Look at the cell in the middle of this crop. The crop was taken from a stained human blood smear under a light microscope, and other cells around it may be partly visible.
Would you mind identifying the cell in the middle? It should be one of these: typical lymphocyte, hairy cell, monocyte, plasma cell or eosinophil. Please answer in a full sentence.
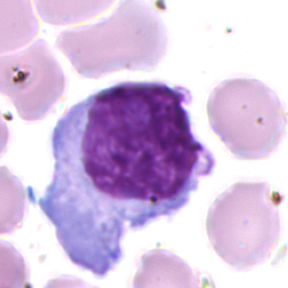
In the center of this field lies a plasma cell.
